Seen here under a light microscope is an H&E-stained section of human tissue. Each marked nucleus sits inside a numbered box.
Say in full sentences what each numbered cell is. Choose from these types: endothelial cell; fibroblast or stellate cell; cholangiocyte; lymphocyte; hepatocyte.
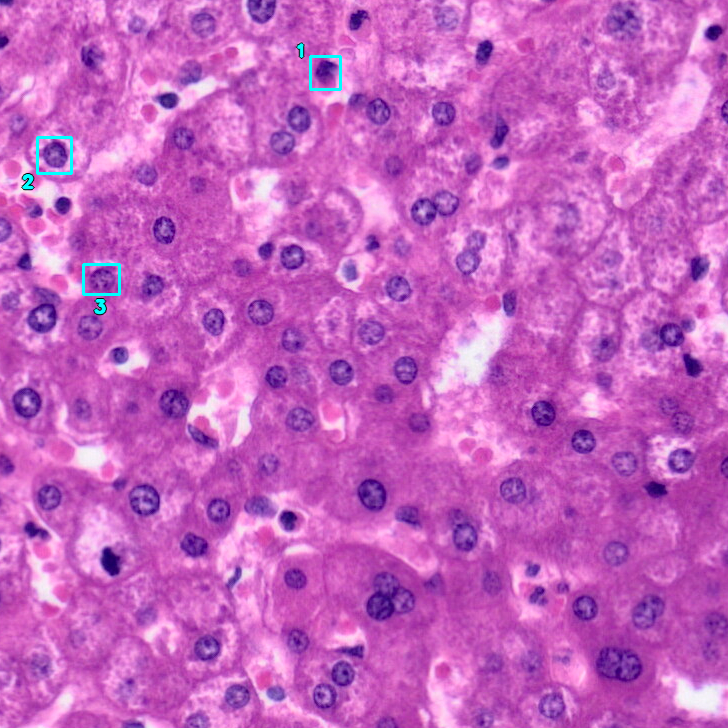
Cell 1 is an endothelial cell, cell 2 is a hepatocyte and cell 3 is a hepatocyte.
